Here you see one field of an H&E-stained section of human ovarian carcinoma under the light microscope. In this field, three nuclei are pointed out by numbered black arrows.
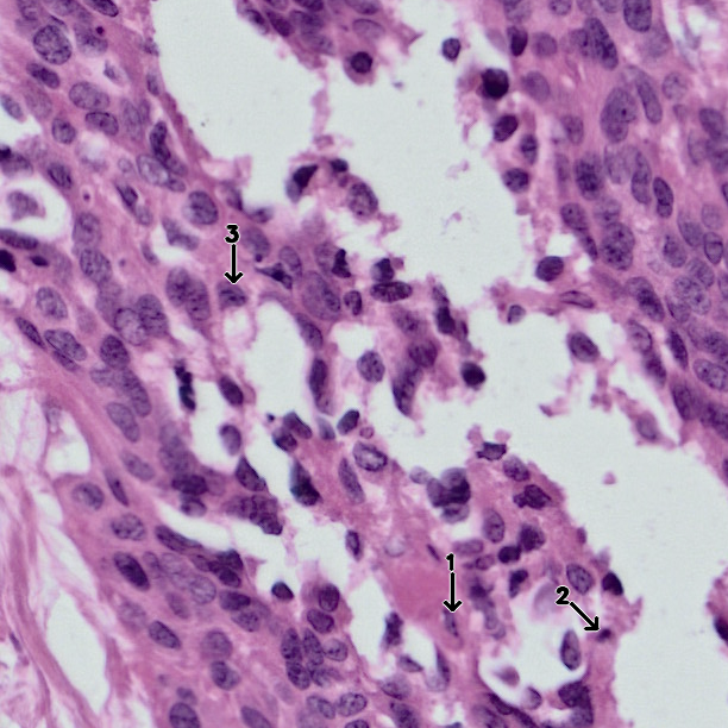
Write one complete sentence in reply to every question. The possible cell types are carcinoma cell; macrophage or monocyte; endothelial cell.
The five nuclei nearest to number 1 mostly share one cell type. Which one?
Of the five nuclei nearest to number 1, most belong to macrophages or monocytes.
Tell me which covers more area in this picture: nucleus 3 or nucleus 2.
The larger nucleus is 3, at roughly 3 times the area of 2.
